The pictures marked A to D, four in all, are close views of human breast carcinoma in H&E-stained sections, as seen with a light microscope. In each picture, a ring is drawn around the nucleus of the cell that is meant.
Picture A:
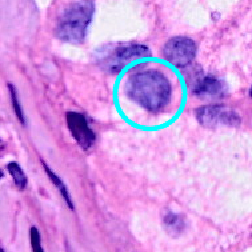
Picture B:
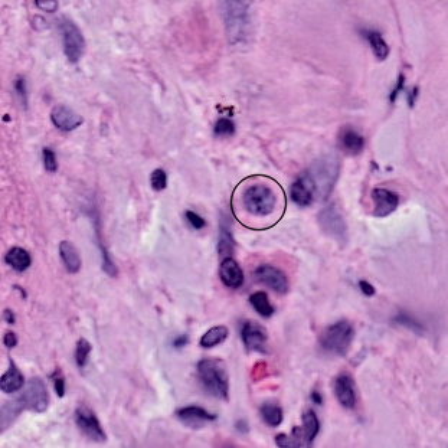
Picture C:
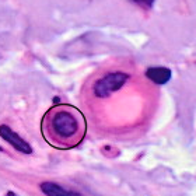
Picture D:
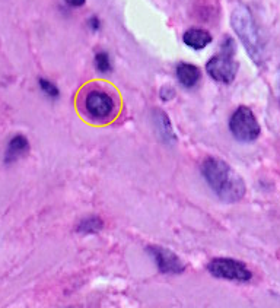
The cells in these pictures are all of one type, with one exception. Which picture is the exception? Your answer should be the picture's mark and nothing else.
A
